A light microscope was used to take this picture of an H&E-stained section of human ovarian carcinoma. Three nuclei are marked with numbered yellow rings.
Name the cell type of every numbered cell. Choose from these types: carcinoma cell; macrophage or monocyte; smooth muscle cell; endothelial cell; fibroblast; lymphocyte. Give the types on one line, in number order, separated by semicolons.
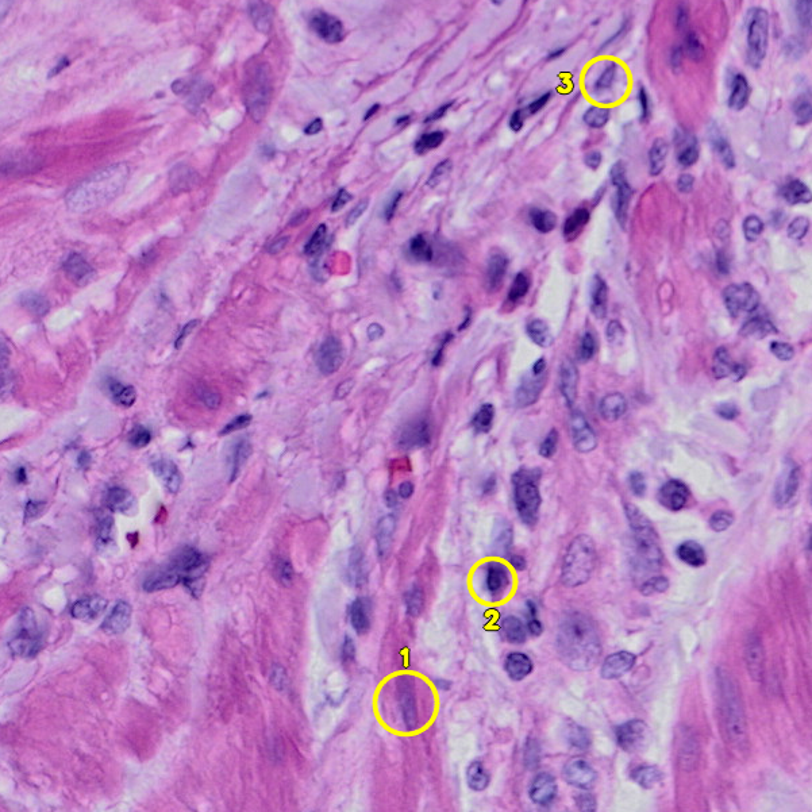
smooth muscle cell; lymphocyte; fibroblast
